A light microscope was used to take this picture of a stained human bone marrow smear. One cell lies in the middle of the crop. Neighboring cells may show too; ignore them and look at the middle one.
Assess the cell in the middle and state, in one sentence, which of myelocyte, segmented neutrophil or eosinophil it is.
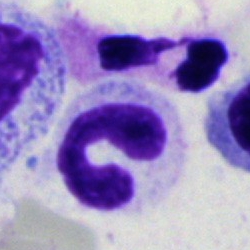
Occupying the centre of the crop is a segmented neutrophil.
